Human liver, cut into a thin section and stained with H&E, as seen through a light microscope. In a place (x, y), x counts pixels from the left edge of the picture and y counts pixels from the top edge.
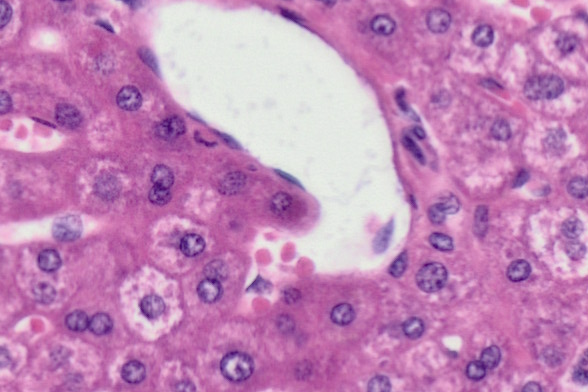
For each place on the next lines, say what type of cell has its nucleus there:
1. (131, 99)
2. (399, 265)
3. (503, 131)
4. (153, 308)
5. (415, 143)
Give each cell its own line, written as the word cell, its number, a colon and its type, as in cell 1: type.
cell 1: hepatocyte
cell 2: fibroblast or stellate cell
cell 3: hepatocyte
cell 4: hepatocyte
cell 5: fibroblast or stellate cell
